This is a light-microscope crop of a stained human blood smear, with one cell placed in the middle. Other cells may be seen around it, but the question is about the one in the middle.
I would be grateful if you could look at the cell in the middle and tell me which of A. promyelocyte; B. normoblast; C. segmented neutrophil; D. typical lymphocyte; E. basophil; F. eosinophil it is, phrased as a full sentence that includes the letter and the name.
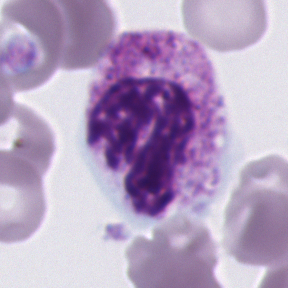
The cell centered in the crop is a segmented neutrophil, making option C the correct pick.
